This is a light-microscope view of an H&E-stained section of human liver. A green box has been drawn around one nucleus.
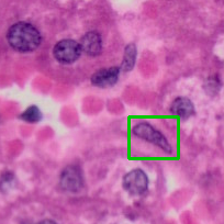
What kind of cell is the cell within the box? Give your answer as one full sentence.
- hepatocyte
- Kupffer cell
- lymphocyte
What the cell within the box represents is a Kupffer cell.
